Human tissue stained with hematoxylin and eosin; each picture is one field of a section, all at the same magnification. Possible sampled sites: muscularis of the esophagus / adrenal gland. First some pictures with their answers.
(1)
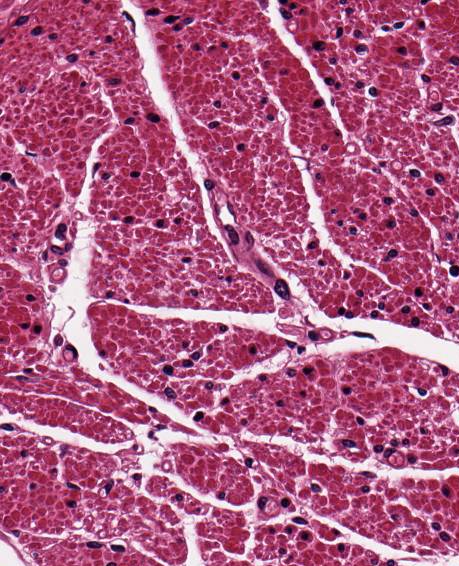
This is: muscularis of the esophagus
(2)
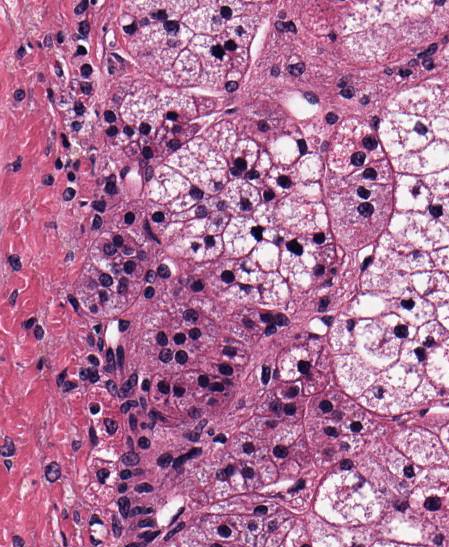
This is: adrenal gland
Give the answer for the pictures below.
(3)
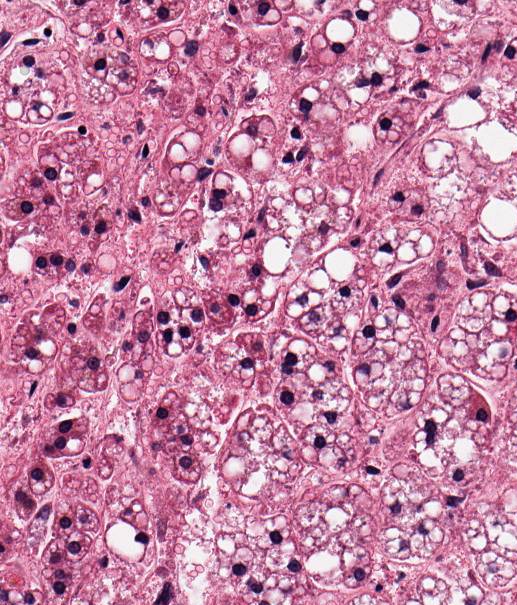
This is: adrenal gland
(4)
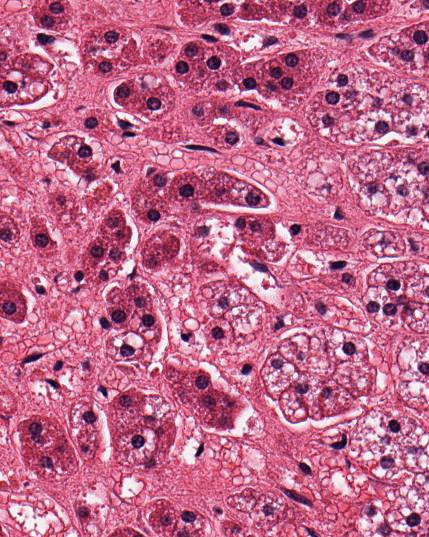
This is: adrenal gland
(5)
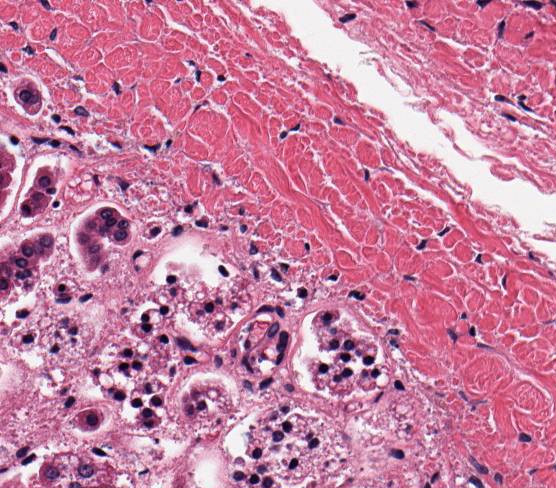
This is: adrenal gland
